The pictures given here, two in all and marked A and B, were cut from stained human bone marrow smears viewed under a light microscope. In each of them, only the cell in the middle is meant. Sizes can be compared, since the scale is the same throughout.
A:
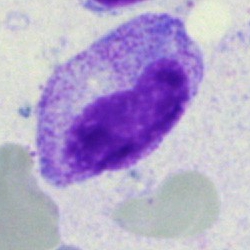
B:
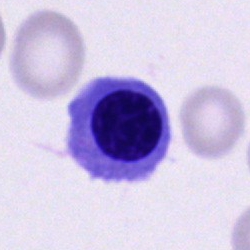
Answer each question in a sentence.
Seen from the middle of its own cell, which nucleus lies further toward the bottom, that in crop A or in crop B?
Seen within its cell, the nucleus in crop A lies further toward the bottom.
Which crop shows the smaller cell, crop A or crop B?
Smaller is the cell in crop B, and the other is about 2 times as large in area.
